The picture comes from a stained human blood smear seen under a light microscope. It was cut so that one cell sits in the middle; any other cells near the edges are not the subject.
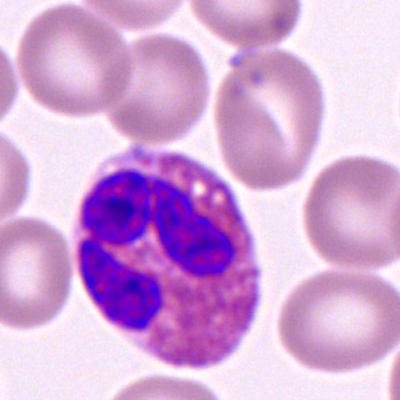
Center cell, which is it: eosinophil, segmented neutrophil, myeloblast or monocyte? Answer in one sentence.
The middle of this crop holds an eosinophil.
